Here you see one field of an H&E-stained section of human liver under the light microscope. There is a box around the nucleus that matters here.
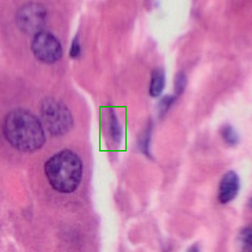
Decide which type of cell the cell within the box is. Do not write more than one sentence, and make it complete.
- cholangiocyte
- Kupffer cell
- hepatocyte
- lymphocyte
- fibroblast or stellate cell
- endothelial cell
Typologically, the cell within the box is a fibroblast or stellate cell in this section.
